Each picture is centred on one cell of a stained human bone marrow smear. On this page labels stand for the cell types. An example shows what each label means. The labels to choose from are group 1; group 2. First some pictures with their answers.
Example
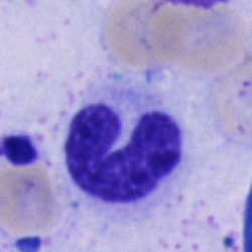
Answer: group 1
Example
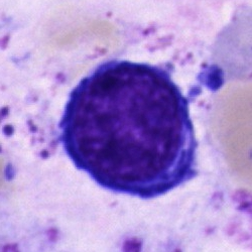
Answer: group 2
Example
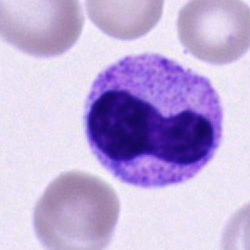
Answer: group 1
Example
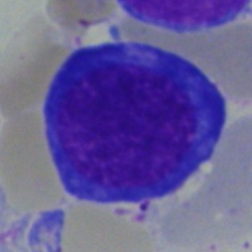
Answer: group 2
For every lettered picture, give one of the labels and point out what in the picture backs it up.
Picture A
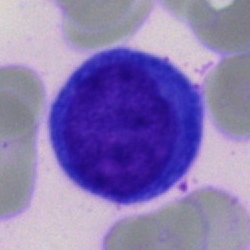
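group 2. The cytoplasm forms only a thin rim around the nucleus.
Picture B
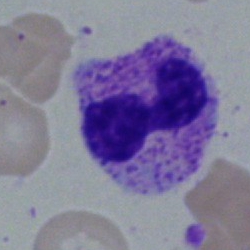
group 1. Numerous coarse dark purple granules are scattered throughout the cytoplasm.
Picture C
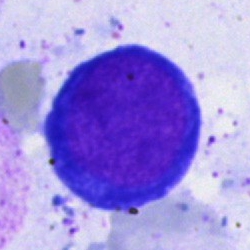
group 2. The cytoplasm forms only a thin rim around the nucleus.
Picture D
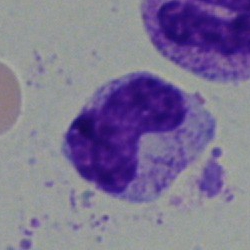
group 1. The chromatin is dark purple and coarsely clumped.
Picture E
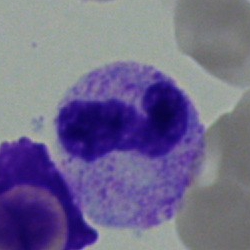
group 1. The chromatin is dark purple and coarsely clumped.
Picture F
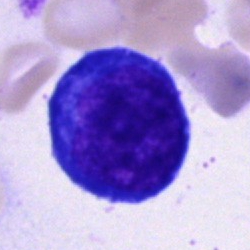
group 2. The chromatin is finely stippled purple with paler patches, not coarsely clumped.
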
